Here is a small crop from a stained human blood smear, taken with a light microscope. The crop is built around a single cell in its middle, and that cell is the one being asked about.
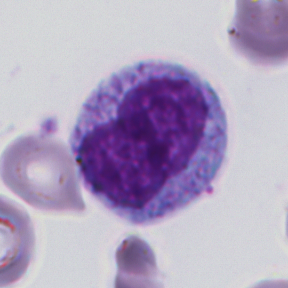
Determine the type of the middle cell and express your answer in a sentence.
Regarding the central cell, it is a metamyelocyte.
